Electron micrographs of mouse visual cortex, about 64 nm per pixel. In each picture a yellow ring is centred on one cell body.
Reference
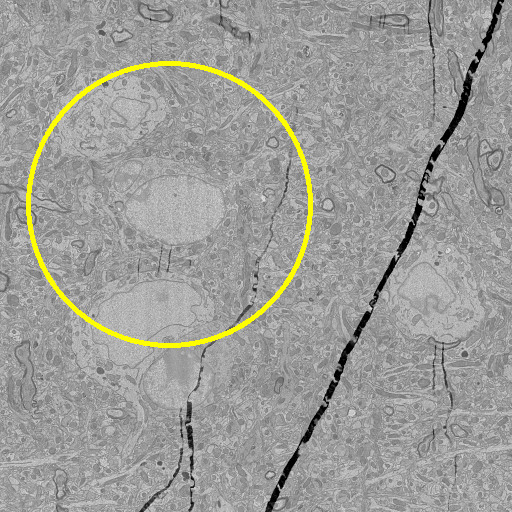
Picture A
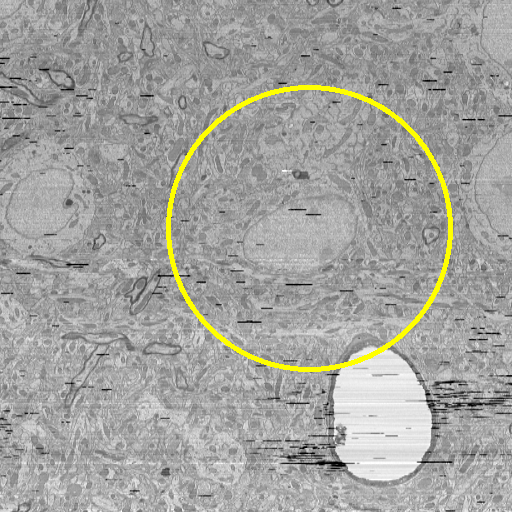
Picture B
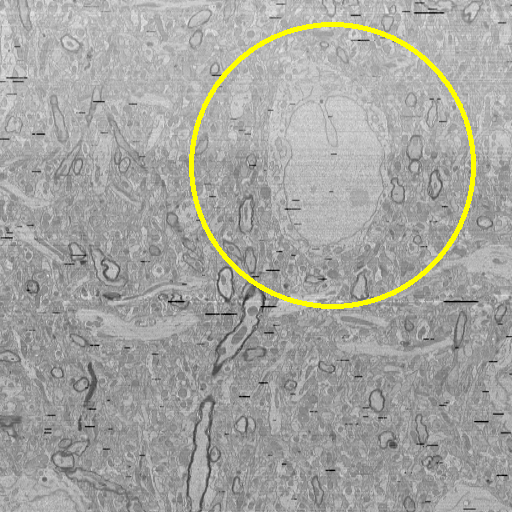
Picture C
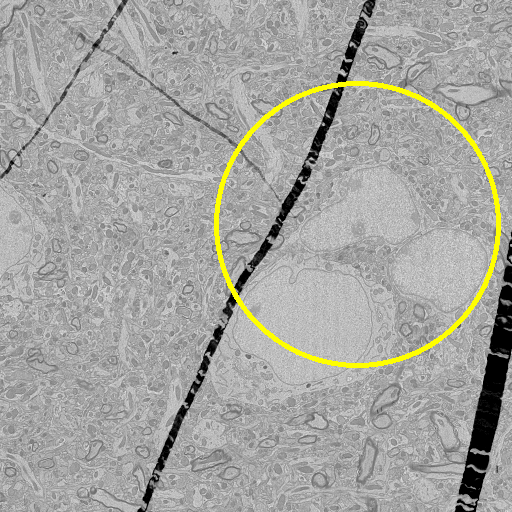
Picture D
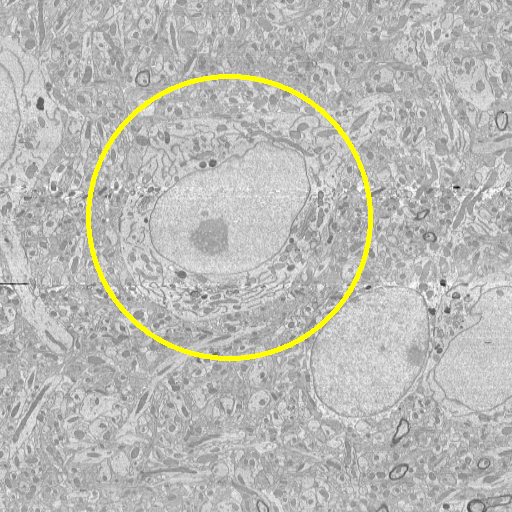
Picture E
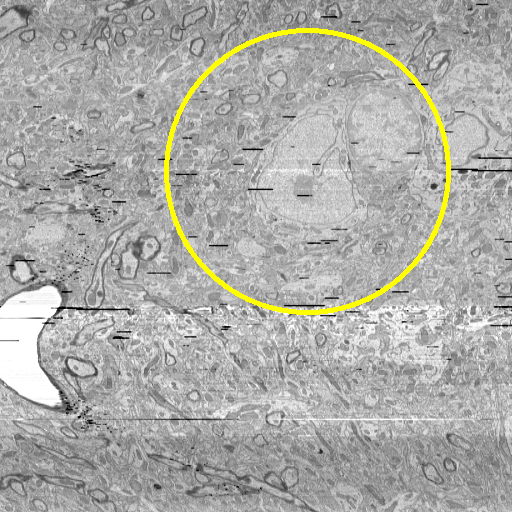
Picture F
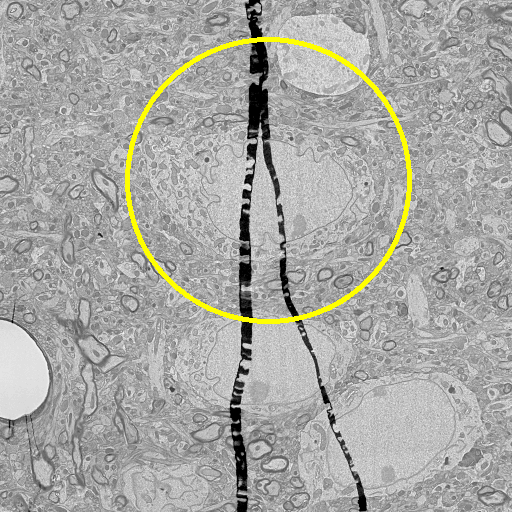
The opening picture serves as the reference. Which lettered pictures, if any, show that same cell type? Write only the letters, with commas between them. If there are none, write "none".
A, C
